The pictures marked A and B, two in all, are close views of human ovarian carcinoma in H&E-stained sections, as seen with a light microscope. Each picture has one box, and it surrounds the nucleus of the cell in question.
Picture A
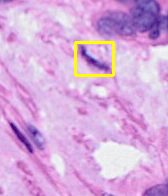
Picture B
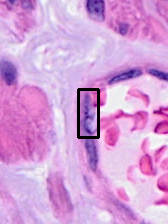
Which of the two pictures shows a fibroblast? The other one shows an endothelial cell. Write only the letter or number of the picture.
A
